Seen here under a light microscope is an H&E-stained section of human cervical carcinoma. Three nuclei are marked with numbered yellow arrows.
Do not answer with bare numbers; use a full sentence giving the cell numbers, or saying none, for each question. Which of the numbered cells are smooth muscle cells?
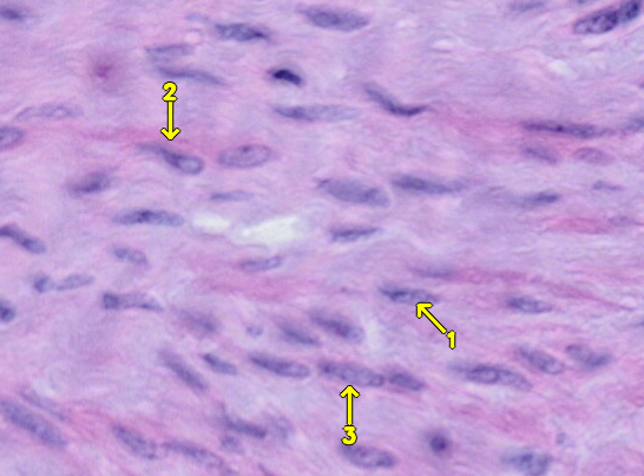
Cells 2 and 3 are classified as smooth muscle cells.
